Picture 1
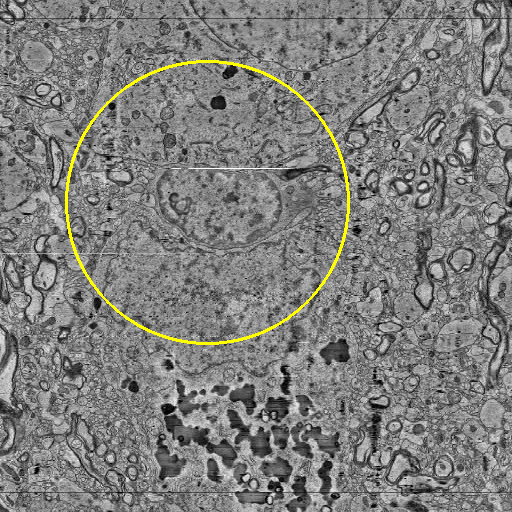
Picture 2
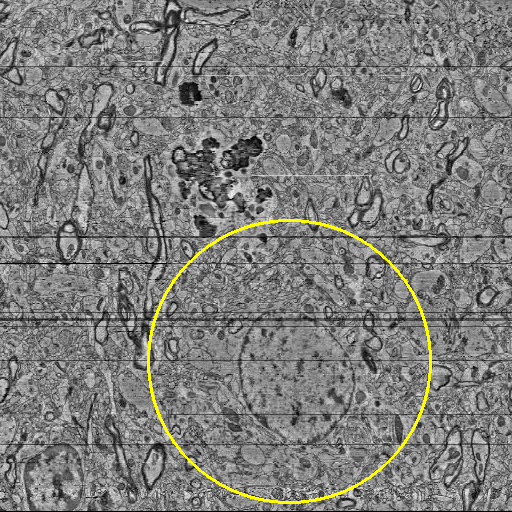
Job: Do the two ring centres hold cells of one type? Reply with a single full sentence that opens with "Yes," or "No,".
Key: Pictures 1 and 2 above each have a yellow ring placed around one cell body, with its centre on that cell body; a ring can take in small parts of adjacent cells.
No, the cells at the two ring centres are of two separate types.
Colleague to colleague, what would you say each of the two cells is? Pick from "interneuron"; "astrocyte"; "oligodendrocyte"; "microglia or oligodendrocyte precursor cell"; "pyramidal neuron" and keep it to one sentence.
The cell in the first picture is an oligodendrocyte; the second picture's cell is an astrocyte.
